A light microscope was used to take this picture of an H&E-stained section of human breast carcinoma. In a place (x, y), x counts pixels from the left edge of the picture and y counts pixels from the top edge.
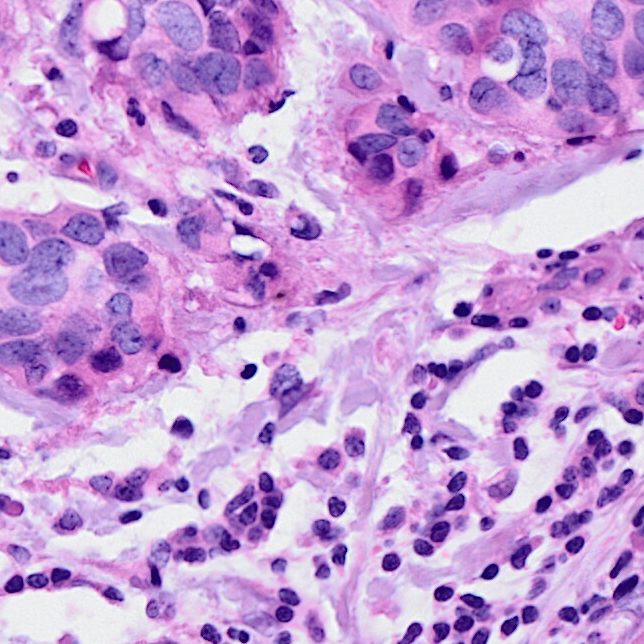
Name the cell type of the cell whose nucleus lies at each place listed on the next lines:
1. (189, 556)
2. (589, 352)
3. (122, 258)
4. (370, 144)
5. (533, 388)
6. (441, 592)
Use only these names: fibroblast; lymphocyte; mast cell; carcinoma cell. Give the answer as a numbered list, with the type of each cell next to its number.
1. lymphocyte
2. lymphocyte
3. carcinoma cell
4. carcinoma cell
5. lymphocyte
6. lymphocyte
